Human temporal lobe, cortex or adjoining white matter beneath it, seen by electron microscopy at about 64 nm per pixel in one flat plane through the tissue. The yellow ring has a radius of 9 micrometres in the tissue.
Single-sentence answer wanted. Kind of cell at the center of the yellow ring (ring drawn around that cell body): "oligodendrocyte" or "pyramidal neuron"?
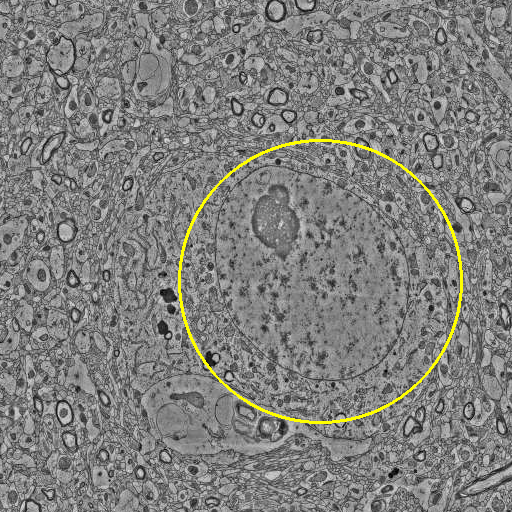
The cell centered in the ring is a pyramidal neuron.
